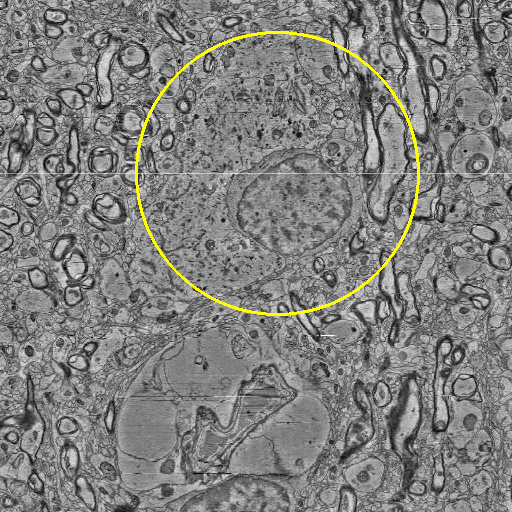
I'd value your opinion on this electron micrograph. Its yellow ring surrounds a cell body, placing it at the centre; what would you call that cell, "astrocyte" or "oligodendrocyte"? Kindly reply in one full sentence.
It is an oligodendrocyte that sits centred within the yellow ring in this micrograph.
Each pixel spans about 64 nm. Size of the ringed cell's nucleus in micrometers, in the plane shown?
In this plane, about 7 micrometres in length and 6 in width.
